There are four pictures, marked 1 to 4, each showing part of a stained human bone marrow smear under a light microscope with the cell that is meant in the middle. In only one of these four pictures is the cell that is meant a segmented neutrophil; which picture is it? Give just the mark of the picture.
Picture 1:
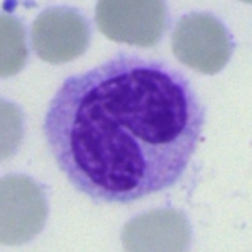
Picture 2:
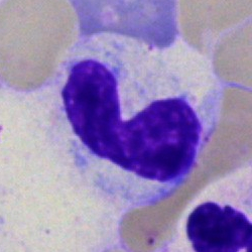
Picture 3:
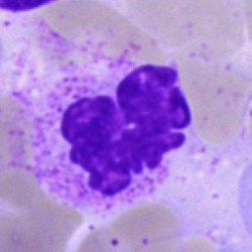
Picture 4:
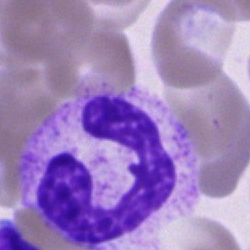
3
